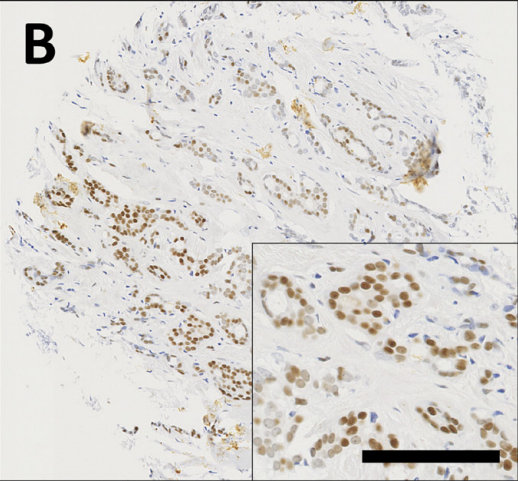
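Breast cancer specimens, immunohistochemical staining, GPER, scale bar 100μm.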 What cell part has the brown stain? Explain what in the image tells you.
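Brown stain sits in round nuclei of the tumour cells. Cytoplasm around the brown nuclei is pale. Stromal nuclei are blue, not brown.
Conclusion: nuclear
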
